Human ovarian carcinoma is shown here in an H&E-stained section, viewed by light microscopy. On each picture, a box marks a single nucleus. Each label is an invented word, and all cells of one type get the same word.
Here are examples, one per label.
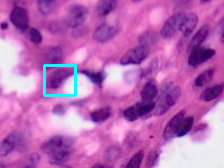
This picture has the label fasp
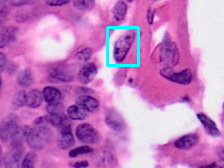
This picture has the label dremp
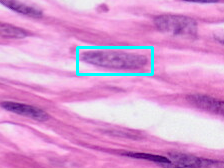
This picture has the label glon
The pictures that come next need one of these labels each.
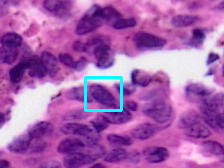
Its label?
fasp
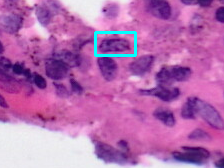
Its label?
dremp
